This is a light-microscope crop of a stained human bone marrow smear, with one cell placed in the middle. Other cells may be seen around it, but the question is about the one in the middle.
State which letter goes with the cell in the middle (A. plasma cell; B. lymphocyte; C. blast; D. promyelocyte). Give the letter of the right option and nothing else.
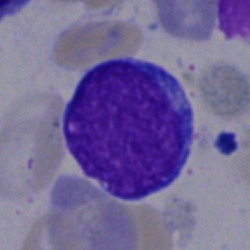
C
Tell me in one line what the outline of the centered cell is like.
Nothing juts out from the margin, which is smooth throughout.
